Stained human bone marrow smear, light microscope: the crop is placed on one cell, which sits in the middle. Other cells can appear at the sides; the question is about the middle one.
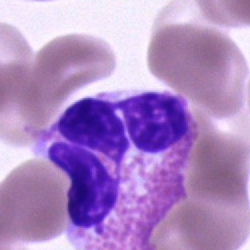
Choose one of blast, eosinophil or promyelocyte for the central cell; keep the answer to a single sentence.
Whatever else lies nearby, the middle cell is an eosinophil.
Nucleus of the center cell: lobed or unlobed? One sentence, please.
Look at the nucleus and you will find it divided into two or more lobes.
